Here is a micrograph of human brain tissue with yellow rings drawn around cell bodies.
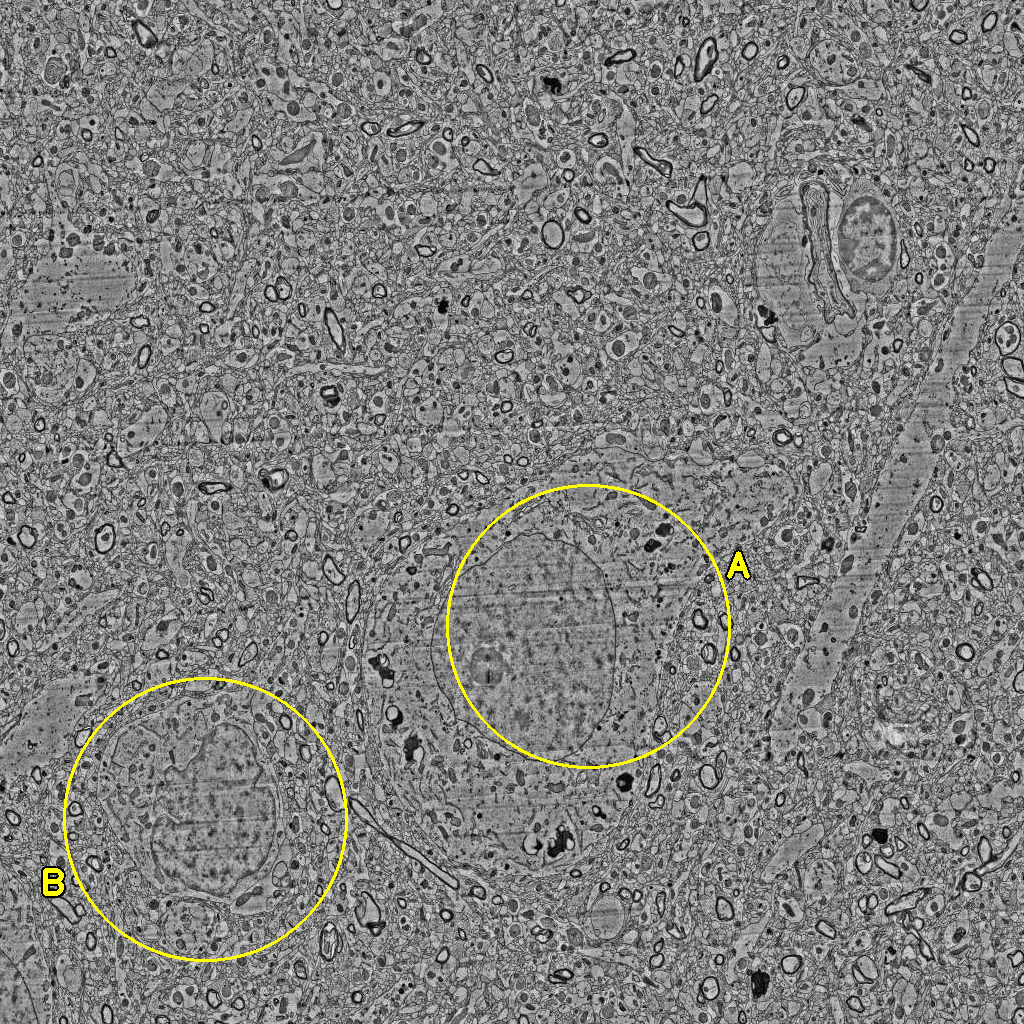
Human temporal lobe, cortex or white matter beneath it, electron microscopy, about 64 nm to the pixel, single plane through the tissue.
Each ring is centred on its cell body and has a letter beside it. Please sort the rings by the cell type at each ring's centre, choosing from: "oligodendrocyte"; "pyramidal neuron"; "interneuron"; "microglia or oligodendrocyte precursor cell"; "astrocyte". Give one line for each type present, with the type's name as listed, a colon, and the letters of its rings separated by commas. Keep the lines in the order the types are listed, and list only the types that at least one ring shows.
pyramidal neuron: A
interneuron: B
